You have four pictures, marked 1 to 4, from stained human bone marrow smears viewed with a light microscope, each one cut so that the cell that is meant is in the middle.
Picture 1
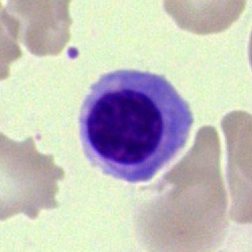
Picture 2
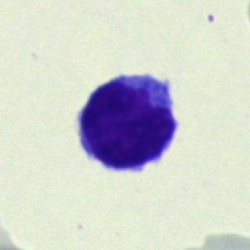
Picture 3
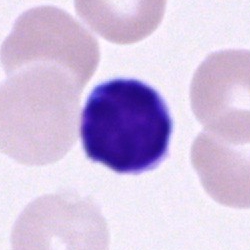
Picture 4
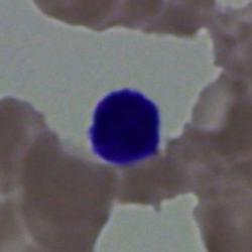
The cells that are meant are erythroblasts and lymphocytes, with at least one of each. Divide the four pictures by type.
1: erythroblast
2: lymphocyte
3: lymphocyte
4: lymphocyte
